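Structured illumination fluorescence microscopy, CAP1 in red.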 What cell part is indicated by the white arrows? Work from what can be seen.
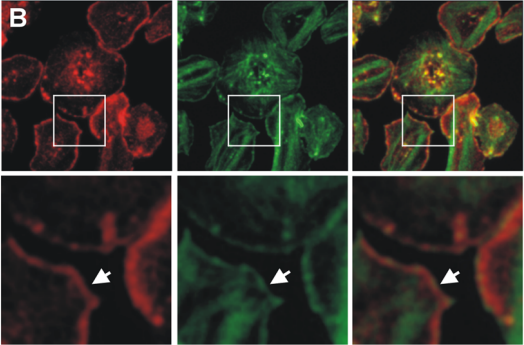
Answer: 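Cell cortex. The arrows point at the thin rim at the edge of a spread cell. The red label forms a continuous line along the cell periphery.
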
